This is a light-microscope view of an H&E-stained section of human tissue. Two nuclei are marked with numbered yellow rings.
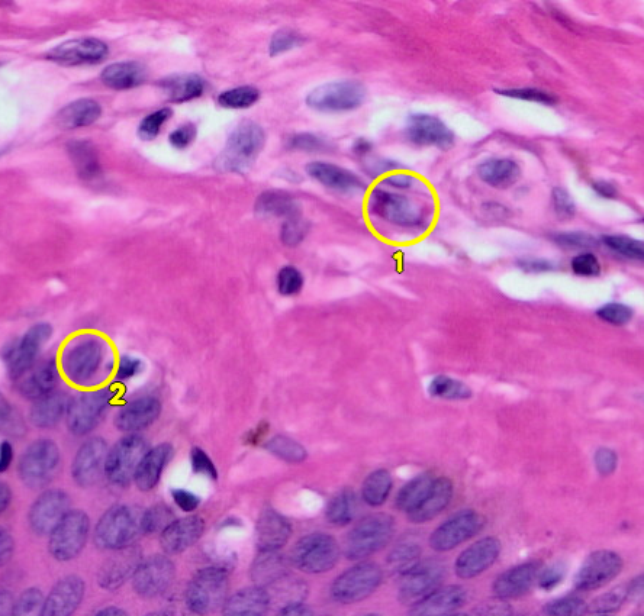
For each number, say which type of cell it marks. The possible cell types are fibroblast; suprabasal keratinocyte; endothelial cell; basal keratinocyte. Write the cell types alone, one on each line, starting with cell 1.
endothelial cell
basal keratinocyte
